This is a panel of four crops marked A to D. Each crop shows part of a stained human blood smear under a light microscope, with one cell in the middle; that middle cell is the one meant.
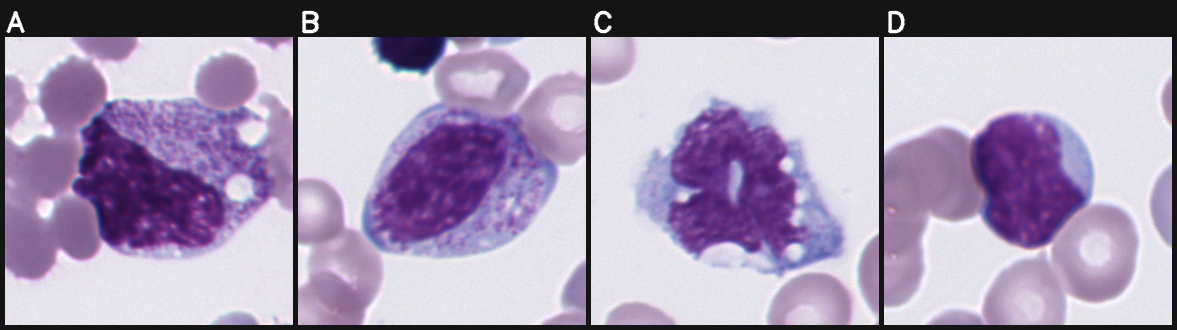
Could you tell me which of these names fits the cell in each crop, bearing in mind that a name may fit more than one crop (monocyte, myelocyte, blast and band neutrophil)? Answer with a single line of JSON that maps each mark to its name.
{"A": "myelocyte", "B": "myelocyte", "C": "monocyte", "D": "blast"}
